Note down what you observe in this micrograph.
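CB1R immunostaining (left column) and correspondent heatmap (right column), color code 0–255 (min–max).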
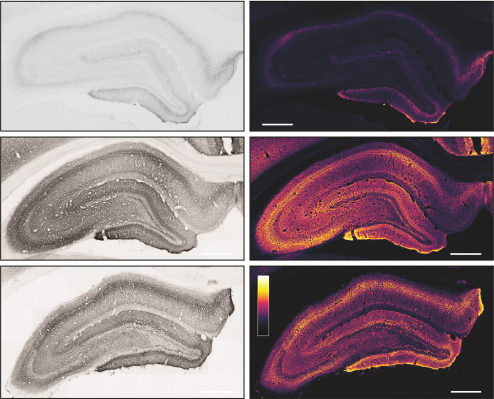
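These are coronal sections through the dorsal hippocampus, shown at low power so that the layered architecture rather than single cells stands out. In each section a long curved band of the pyramidal cell layer arches across the field, and below it the V-shaped granule cell layer of the dentate gyrus lies nested in its open end.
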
